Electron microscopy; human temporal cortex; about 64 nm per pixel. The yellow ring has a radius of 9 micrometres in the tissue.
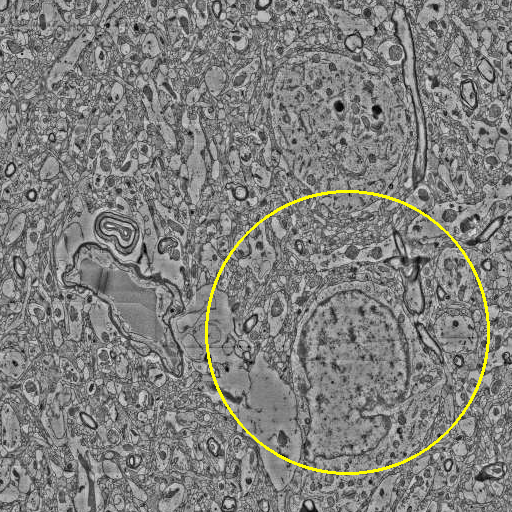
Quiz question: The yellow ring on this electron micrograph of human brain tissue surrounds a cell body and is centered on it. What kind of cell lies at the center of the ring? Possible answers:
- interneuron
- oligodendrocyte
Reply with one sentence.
The ring's center lies on an interneuron.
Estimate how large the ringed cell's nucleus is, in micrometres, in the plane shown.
In this plane the nucleus measures roughly 11 by 7 micrometres.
